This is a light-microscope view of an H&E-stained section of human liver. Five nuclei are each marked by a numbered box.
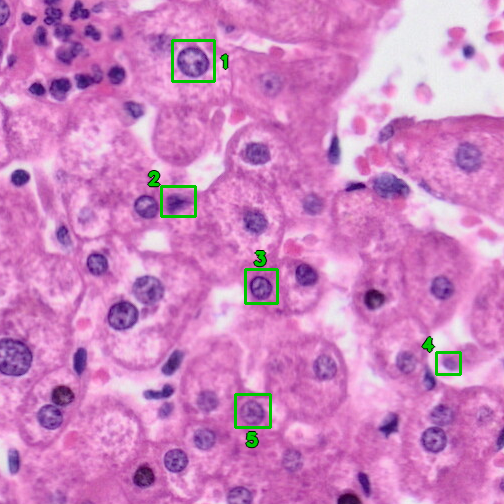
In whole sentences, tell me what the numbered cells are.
Cell 1 is a hepatocyte, cell 2 is a fibroblast or stellate cell, cell 3 is a hepatocyte, cell 4 is a Kupffer cell and cell 5 is a hepatocyte.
